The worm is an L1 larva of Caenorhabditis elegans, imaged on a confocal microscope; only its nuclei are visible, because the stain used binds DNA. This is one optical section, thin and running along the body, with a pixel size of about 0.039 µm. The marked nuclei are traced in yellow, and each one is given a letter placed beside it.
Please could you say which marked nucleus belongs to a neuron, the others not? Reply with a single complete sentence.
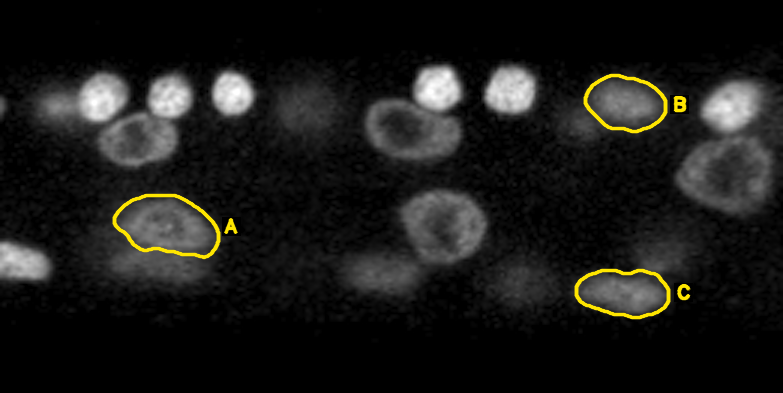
B is the one that belongs to a neuron.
